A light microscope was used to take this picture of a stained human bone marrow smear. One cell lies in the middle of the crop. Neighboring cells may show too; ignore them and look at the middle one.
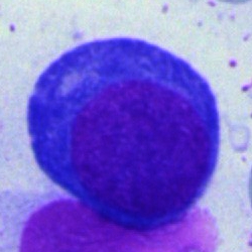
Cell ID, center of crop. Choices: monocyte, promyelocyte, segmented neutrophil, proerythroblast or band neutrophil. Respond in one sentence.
This crop has a proerythroblast at its centre.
